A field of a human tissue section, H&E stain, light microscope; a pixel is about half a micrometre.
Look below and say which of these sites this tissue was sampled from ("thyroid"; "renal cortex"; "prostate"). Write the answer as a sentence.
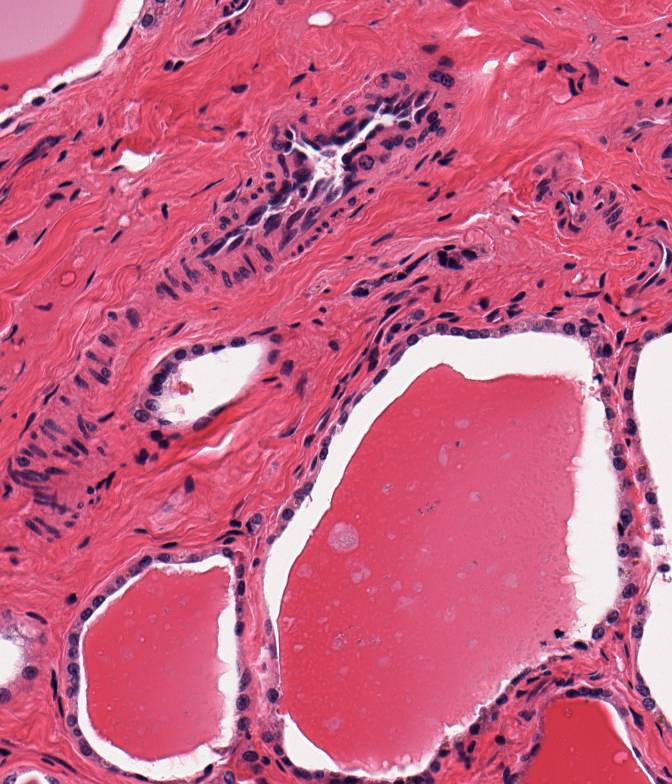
The site this tissue was sampled from is the thyroid.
